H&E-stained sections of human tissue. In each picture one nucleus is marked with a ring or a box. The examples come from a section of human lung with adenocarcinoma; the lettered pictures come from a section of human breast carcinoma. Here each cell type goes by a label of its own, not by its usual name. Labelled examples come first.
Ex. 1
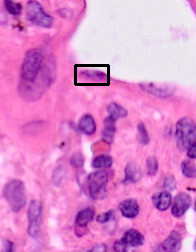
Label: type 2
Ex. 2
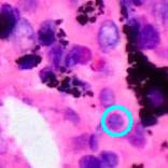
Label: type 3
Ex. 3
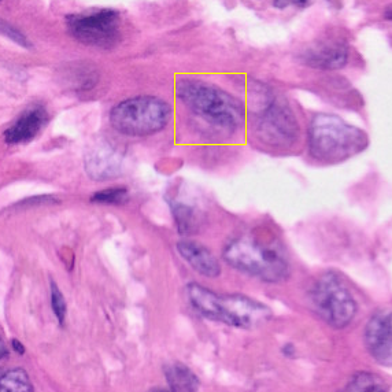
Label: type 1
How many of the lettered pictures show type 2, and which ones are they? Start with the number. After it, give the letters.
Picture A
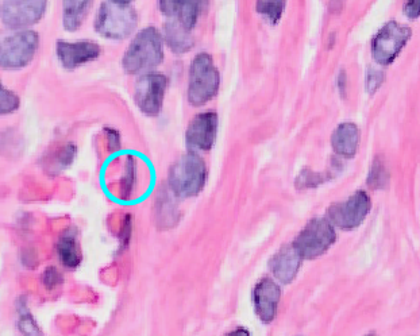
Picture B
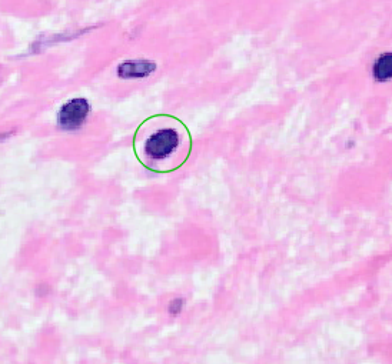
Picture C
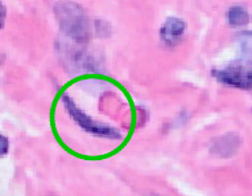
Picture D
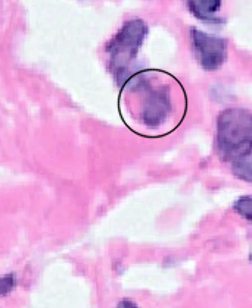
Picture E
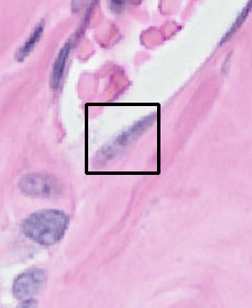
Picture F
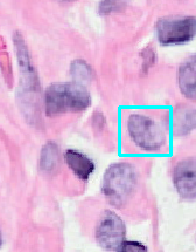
Count: 3 (A, C, E)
